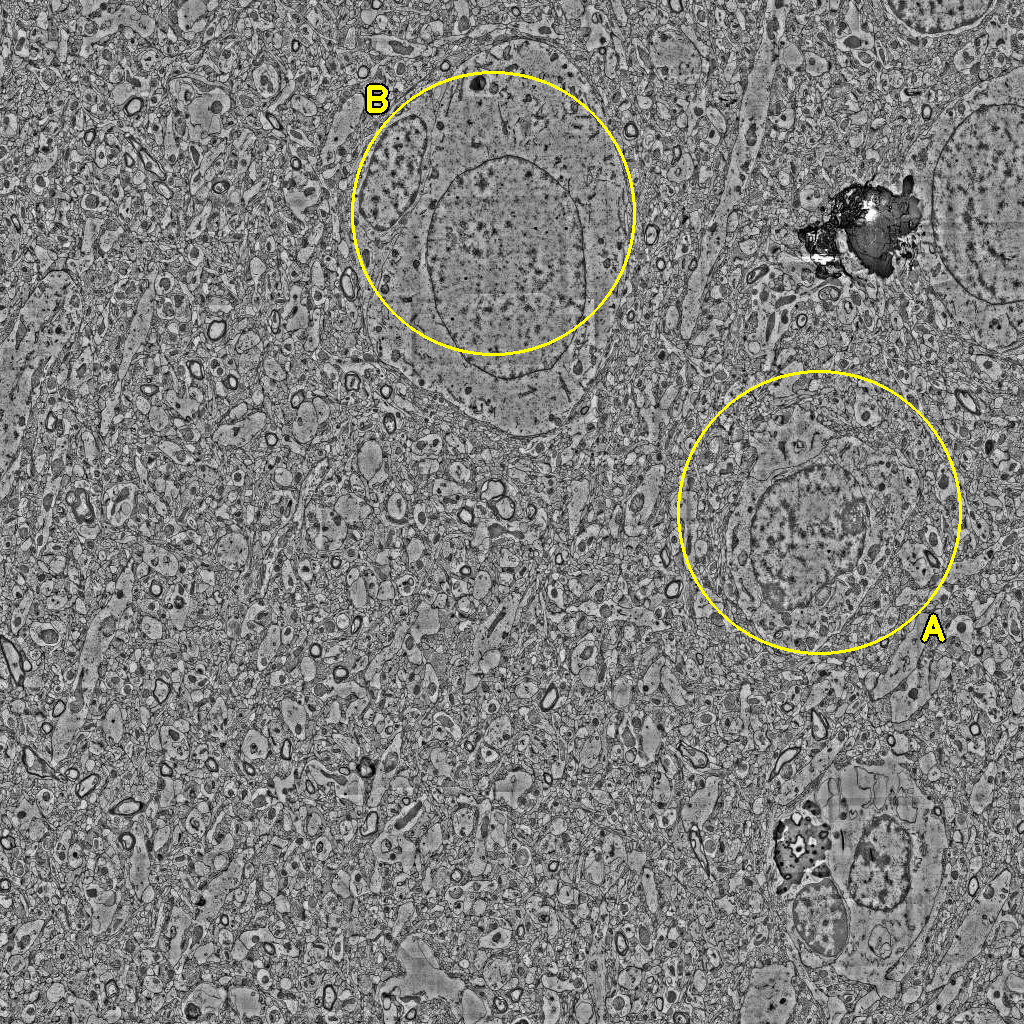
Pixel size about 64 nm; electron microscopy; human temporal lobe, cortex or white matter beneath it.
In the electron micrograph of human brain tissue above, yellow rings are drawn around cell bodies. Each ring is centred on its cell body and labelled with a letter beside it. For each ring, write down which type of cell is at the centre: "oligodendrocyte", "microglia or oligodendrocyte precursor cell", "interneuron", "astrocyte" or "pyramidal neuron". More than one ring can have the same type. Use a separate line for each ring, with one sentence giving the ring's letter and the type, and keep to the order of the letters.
At the centre of ring A there is an interneuron.
At the centre of ring B there is a pyramidal neuron.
